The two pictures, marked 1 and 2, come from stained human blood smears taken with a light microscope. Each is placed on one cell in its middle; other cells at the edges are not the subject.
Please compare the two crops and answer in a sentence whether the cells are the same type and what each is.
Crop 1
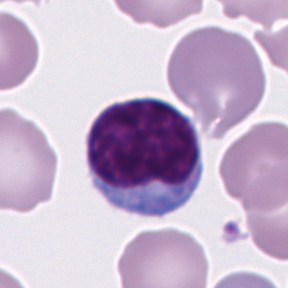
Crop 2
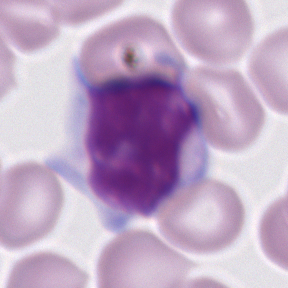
Yes, lymphocytes occupy the centre of both crops.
